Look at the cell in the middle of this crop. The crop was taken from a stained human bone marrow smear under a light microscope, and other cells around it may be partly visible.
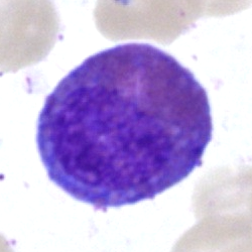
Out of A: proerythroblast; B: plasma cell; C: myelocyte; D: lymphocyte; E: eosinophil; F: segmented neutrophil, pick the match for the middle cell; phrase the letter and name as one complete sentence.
Option E is correct here, and the cell in the middle is an eosinophil.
